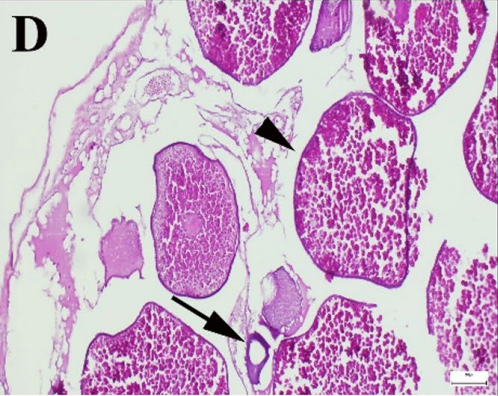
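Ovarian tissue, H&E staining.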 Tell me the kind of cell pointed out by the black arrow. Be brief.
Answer: Immature oocytes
